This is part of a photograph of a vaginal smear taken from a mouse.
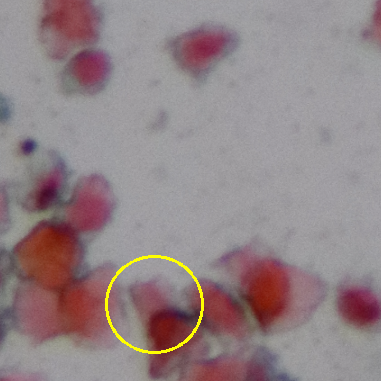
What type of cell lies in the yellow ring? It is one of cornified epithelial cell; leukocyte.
The ringed cell is a cornified epithelial cell.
